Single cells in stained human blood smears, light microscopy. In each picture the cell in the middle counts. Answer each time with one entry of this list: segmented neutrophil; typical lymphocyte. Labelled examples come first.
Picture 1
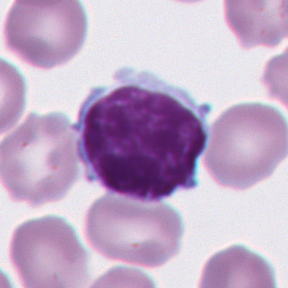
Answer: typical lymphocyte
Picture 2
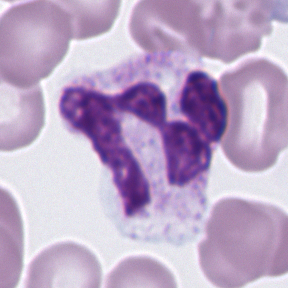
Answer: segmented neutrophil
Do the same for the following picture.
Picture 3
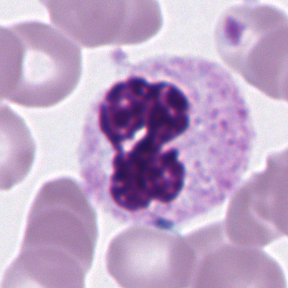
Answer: segmented neutrophil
